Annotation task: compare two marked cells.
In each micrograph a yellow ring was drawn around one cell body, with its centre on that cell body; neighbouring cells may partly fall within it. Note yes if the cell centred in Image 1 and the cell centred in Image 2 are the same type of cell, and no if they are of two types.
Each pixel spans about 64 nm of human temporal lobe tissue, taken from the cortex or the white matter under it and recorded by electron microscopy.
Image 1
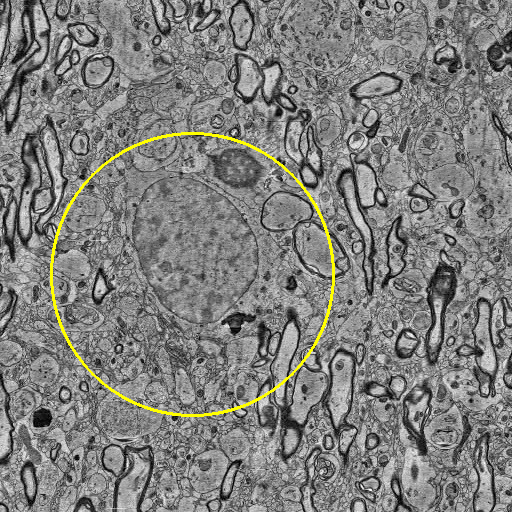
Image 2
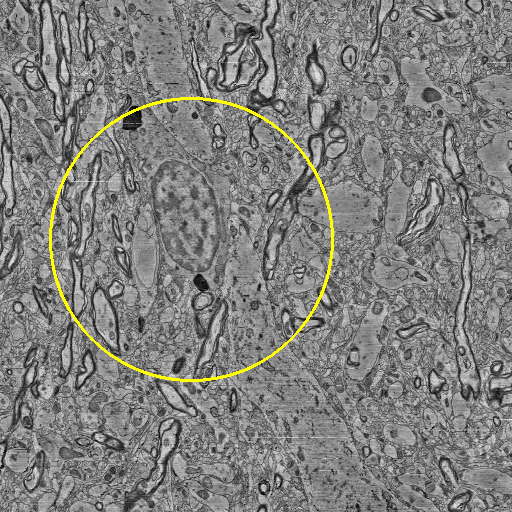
yes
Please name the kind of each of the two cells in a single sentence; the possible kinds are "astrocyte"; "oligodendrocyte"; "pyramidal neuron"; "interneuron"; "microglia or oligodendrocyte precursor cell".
The cell at the ring centre is an oligodendrocyte in both pictures.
